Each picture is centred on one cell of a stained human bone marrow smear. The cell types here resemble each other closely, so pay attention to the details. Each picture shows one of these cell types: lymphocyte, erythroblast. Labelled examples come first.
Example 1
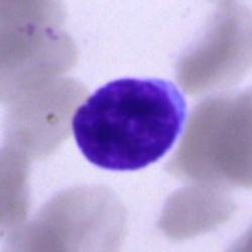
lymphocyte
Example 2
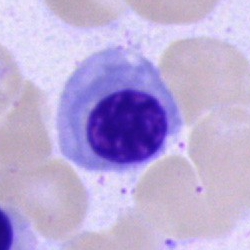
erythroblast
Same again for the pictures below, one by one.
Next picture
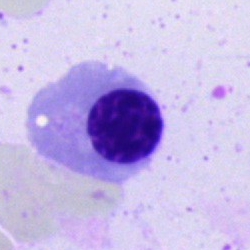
erythroblast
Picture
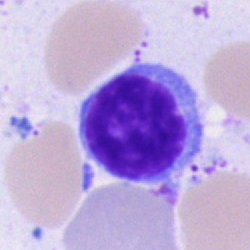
lymphocyte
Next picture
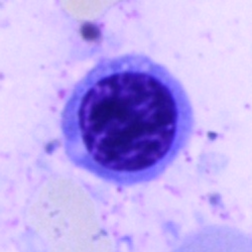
erythroblast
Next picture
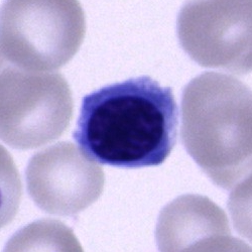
erythroblast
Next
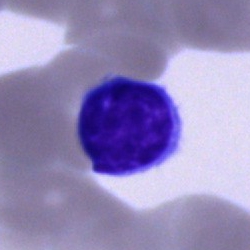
lymphocyte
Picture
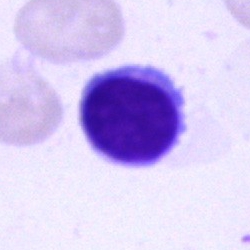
lymphocyte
